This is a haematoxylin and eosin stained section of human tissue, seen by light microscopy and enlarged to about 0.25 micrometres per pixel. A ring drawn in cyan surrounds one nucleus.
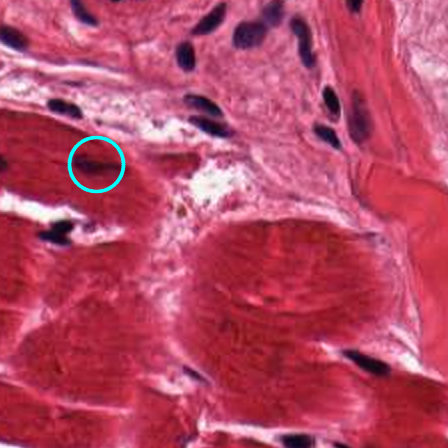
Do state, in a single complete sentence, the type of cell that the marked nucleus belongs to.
The nucleus picked out by the mark is that of a cardiomyocyte.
